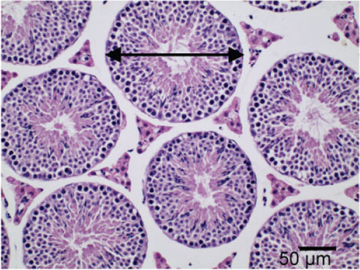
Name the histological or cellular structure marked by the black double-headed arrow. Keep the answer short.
Seminiferous tubules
